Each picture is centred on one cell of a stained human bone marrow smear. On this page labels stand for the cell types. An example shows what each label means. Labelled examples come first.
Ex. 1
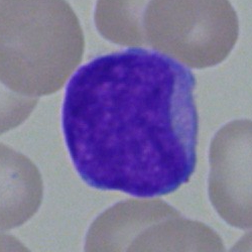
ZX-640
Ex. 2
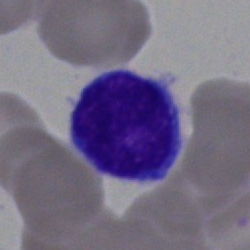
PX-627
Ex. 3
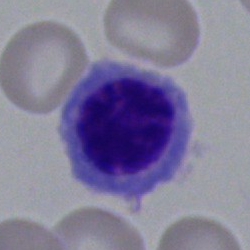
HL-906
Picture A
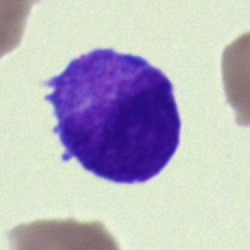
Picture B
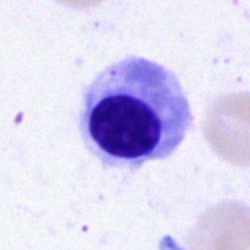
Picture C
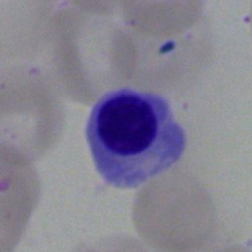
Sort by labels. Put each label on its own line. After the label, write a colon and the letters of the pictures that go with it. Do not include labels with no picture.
ZX-640: A
HL-906: B, C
